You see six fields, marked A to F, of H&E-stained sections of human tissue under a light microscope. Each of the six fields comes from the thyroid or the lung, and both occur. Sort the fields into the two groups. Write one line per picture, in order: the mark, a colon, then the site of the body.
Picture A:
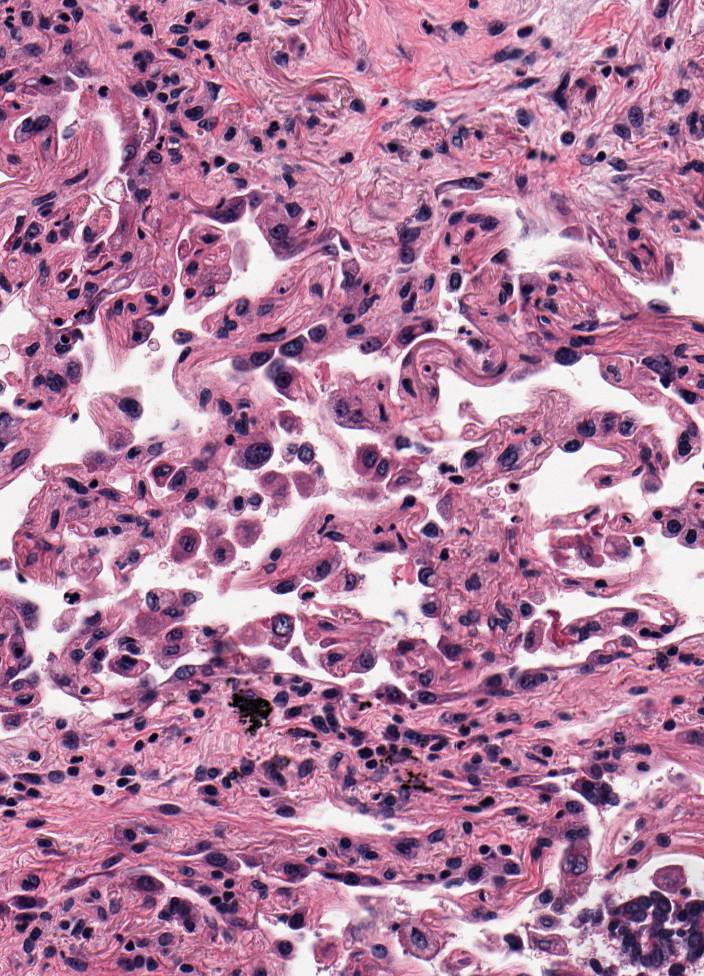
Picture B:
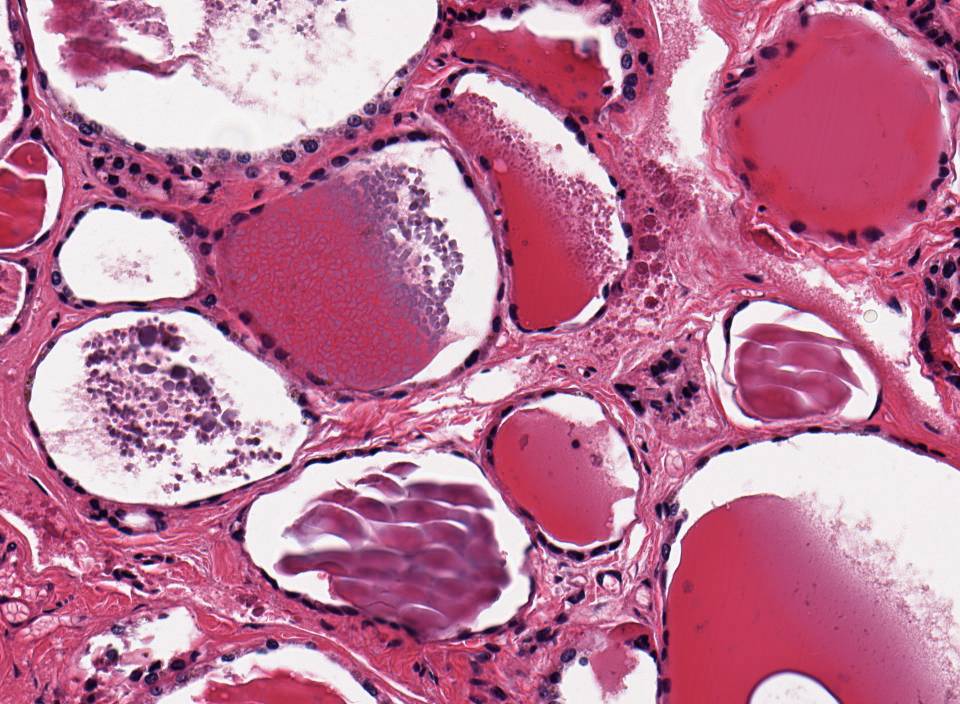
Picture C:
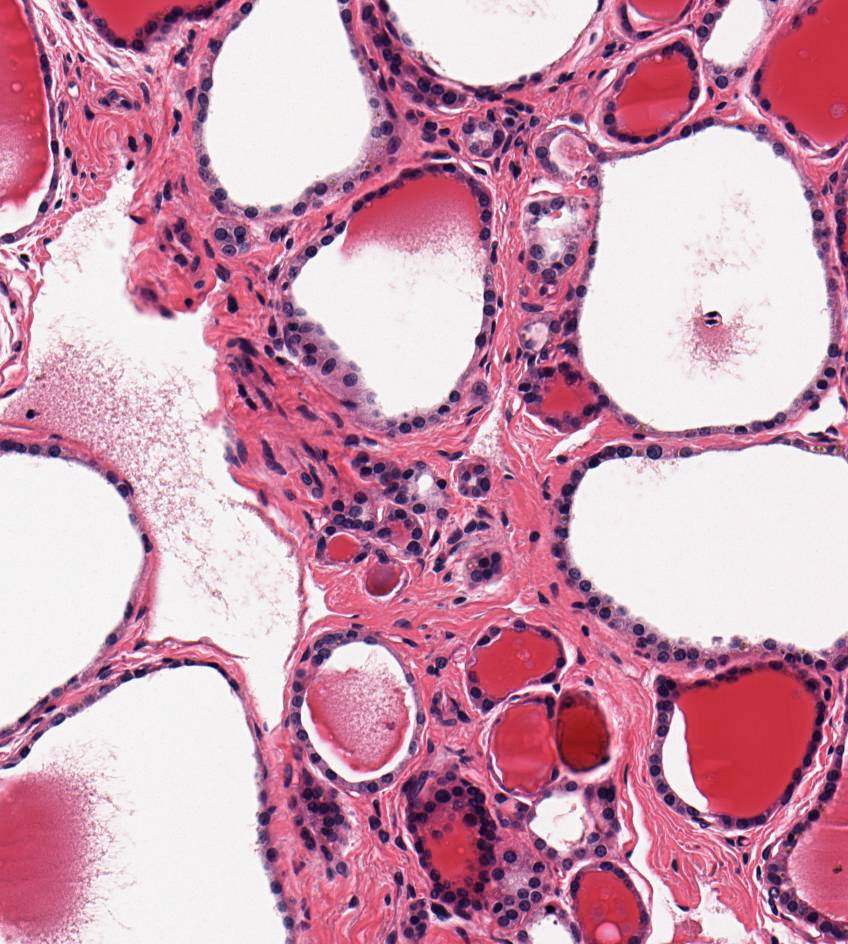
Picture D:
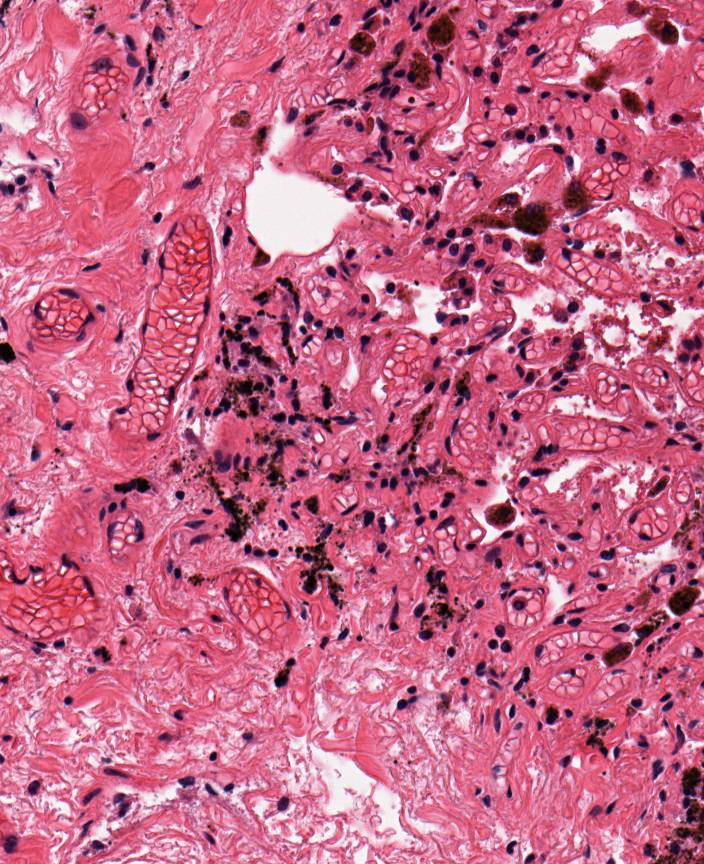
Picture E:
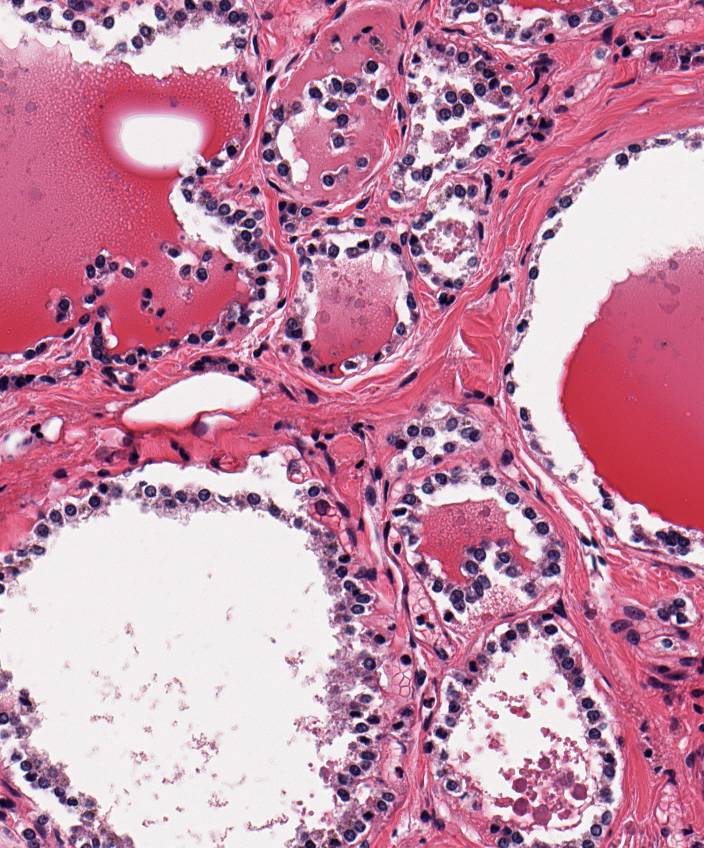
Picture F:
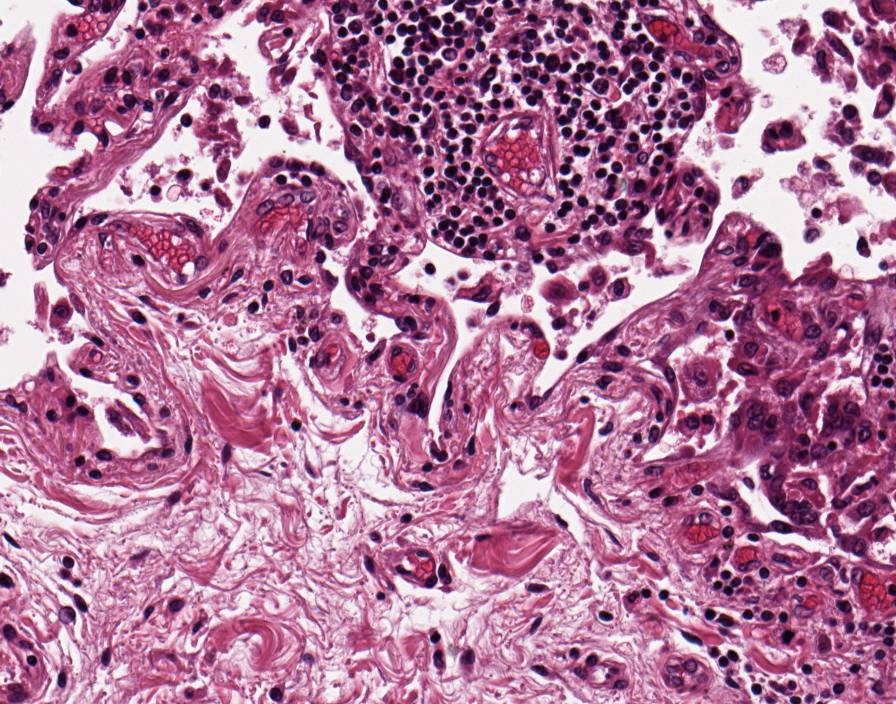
A: lung
B: thyroid
C: thyroid
D: lung
E: thyroid
F: lung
